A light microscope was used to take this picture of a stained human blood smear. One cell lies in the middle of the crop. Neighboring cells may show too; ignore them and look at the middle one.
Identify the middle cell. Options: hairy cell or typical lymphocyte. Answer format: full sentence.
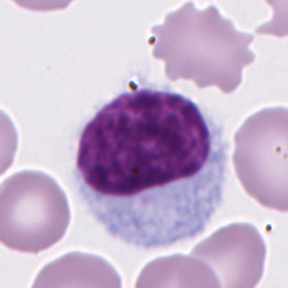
Positioned in the middle of the crop is a hairy cell.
